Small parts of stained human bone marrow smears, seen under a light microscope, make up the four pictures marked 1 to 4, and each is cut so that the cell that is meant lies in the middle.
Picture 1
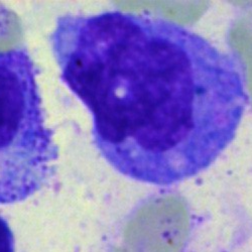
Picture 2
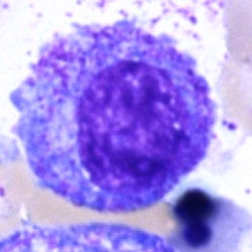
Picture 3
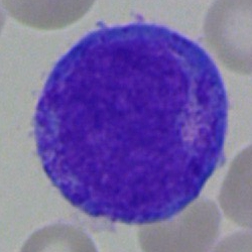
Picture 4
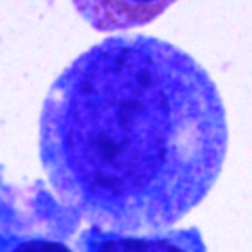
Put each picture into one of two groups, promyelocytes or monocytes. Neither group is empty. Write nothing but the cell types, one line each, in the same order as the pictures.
monocyte
promyelocyte
promyelocyte
promyelocyte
